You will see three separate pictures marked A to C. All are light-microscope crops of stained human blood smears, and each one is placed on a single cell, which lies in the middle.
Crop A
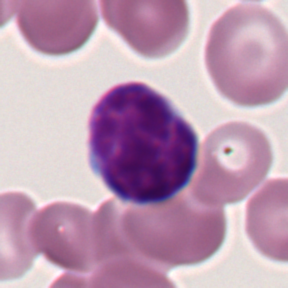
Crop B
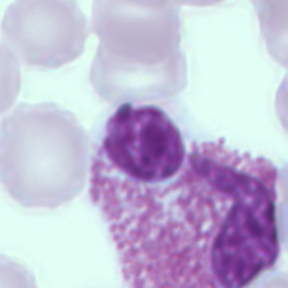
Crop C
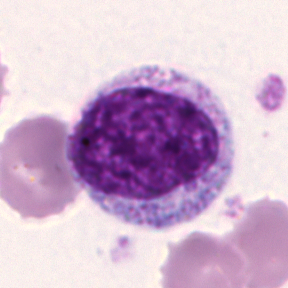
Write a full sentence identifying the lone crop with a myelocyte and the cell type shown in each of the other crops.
The crop marked C contains a myelocyte, while crop A is a lymphocyte and crop B is an eosinophil.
